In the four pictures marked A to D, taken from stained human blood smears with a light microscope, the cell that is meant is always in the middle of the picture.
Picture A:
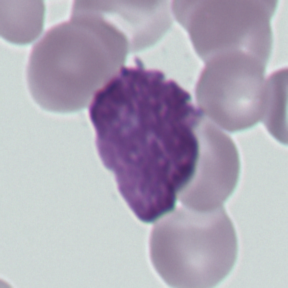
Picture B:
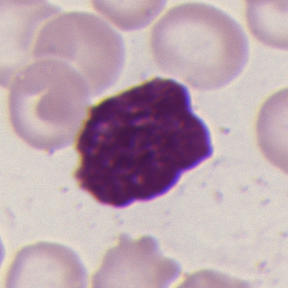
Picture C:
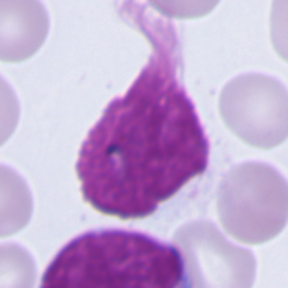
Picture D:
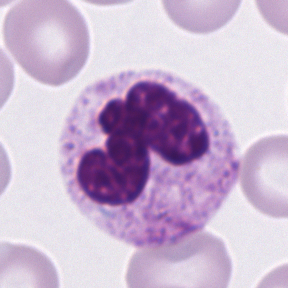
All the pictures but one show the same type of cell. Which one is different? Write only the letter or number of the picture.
D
